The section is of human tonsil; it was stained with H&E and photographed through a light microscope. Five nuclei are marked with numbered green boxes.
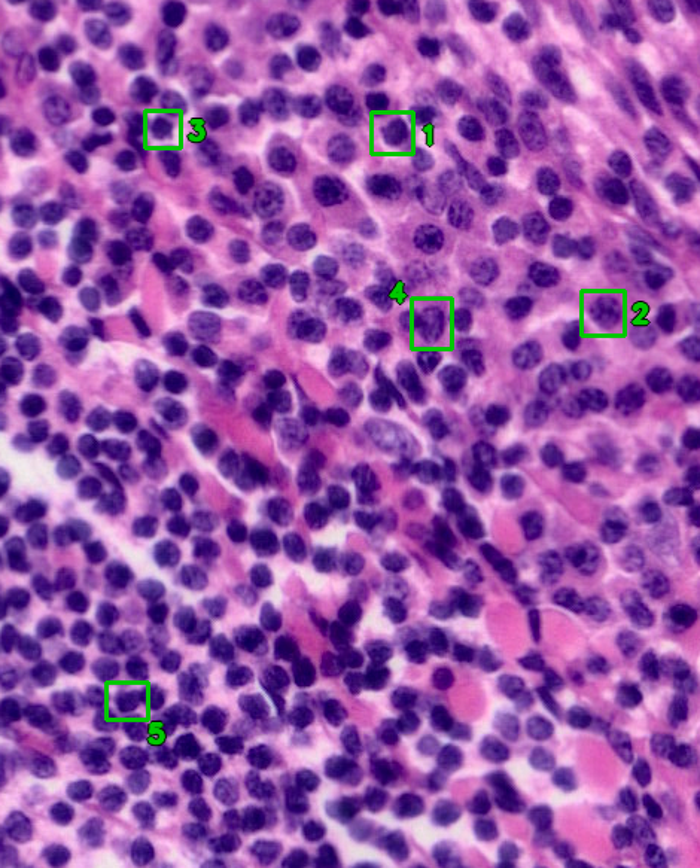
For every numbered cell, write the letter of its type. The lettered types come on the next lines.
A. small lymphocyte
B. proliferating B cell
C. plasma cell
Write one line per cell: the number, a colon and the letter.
1: C
2: C
3: A
4: C
5: A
